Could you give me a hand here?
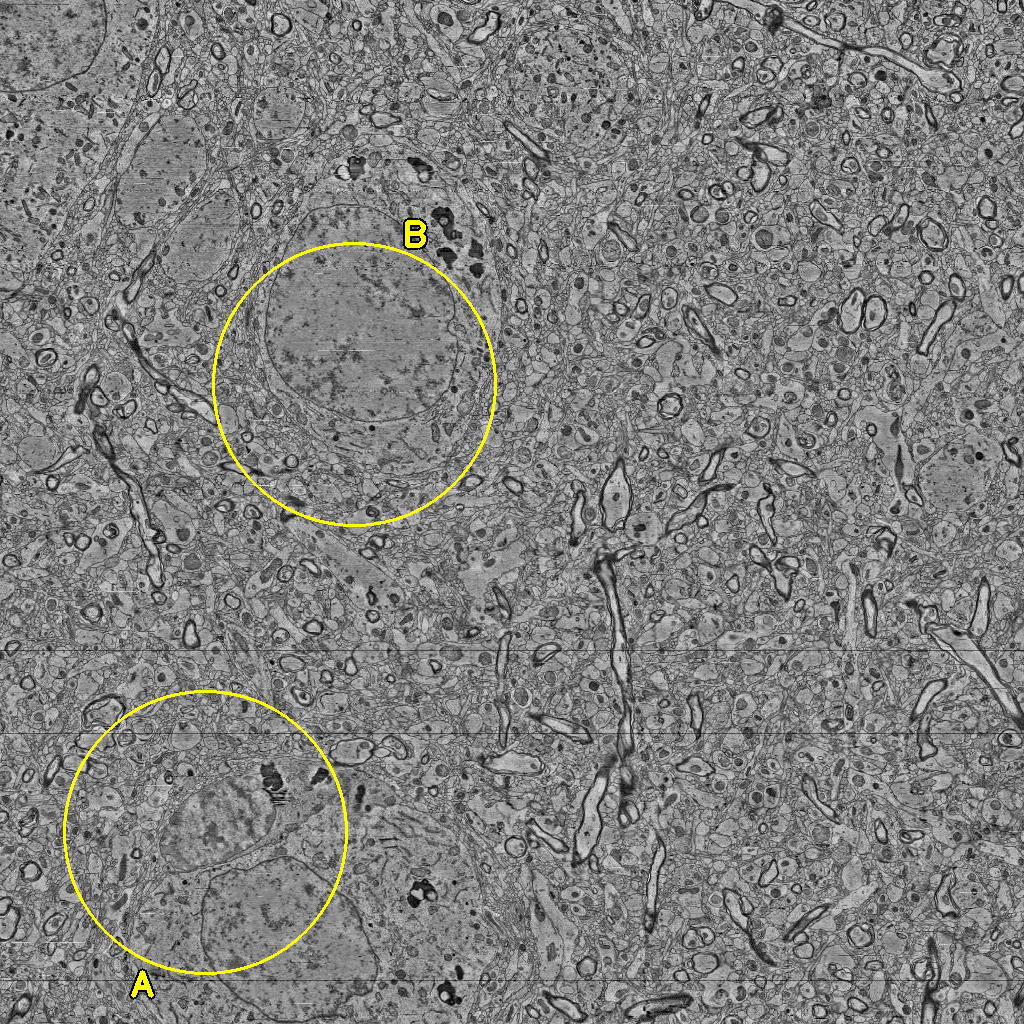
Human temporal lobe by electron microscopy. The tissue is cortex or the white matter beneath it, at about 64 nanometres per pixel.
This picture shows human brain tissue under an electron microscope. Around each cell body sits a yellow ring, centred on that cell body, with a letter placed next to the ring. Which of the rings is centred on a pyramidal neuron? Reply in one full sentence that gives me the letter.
The cell asked for sits at the centre of ring B in the picture.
